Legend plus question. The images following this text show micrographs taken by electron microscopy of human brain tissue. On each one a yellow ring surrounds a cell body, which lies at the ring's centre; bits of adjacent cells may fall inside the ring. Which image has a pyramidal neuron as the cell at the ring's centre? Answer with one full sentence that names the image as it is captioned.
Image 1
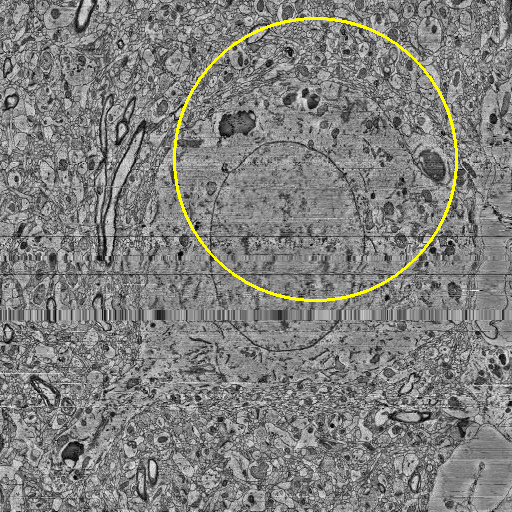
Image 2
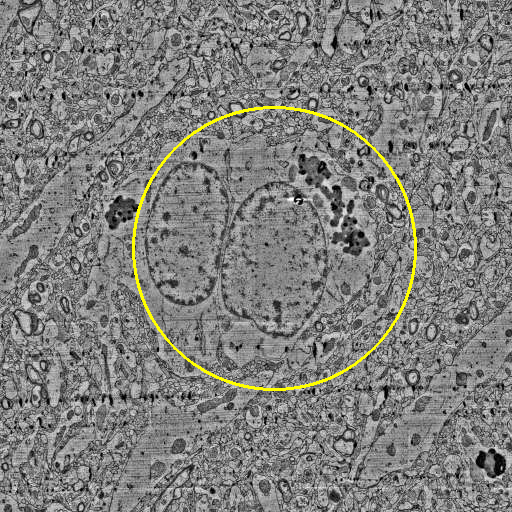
The centred cell that was asked for is the one in Image 1.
